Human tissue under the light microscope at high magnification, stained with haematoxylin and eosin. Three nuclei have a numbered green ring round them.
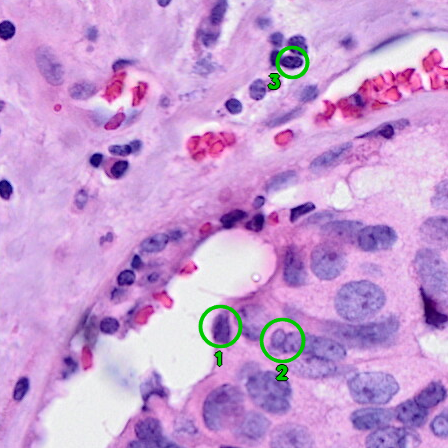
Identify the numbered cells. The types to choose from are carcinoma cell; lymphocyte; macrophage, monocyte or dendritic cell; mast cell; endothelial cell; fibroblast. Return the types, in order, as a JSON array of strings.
["carcinoma cell", "carcinoma cell", "lymphocyte"]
